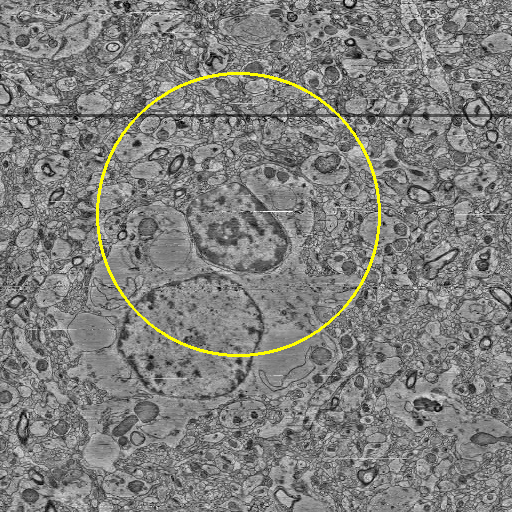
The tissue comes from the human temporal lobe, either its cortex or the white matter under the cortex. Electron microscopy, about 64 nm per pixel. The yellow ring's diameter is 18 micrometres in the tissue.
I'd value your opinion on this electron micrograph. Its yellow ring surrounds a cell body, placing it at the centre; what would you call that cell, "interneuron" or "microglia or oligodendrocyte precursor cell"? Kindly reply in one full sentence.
It is a microglial cell or oligodendrocyte precursor cell that sits centred within the yellow ring in this micrograph.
